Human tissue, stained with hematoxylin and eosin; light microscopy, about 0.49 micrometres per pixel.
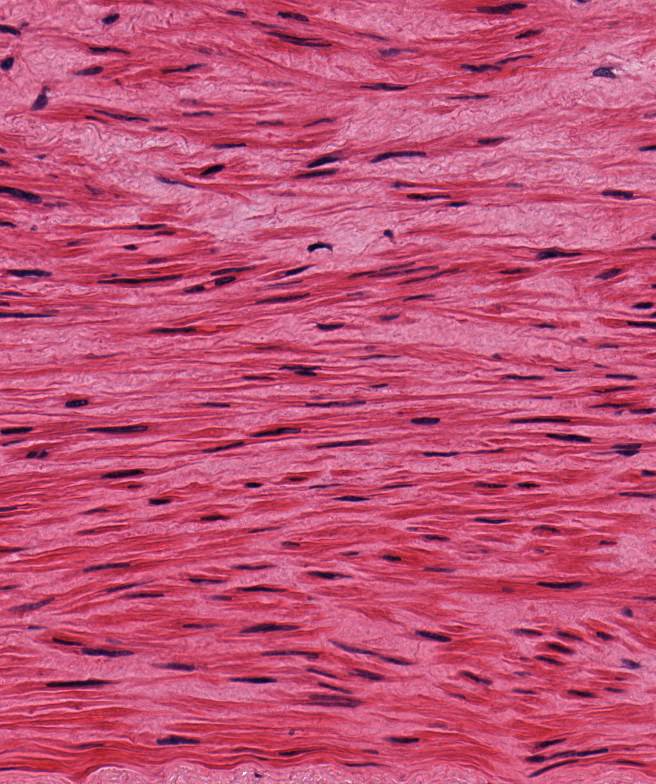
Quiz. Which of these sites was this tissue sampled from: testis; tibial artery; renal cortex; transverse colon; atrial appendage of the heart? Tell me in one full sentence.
This sample of human tissue comes from the tibial artery.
